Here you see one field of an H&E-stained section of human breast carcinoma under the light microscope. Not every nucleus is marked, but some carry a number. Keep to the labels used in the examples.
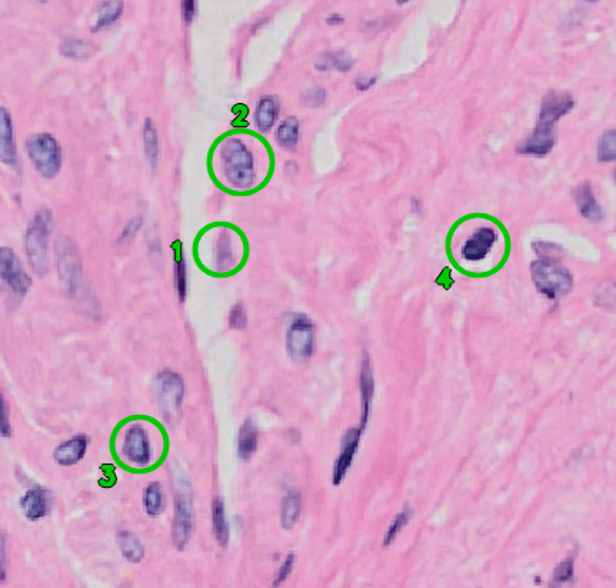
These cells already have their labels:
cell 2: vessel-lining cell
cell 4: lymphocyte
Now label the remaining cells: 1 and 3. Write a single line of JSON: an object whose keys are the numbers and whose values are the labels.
{"1": "vessel-lining cell", "3": "vessel-lining cell"}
